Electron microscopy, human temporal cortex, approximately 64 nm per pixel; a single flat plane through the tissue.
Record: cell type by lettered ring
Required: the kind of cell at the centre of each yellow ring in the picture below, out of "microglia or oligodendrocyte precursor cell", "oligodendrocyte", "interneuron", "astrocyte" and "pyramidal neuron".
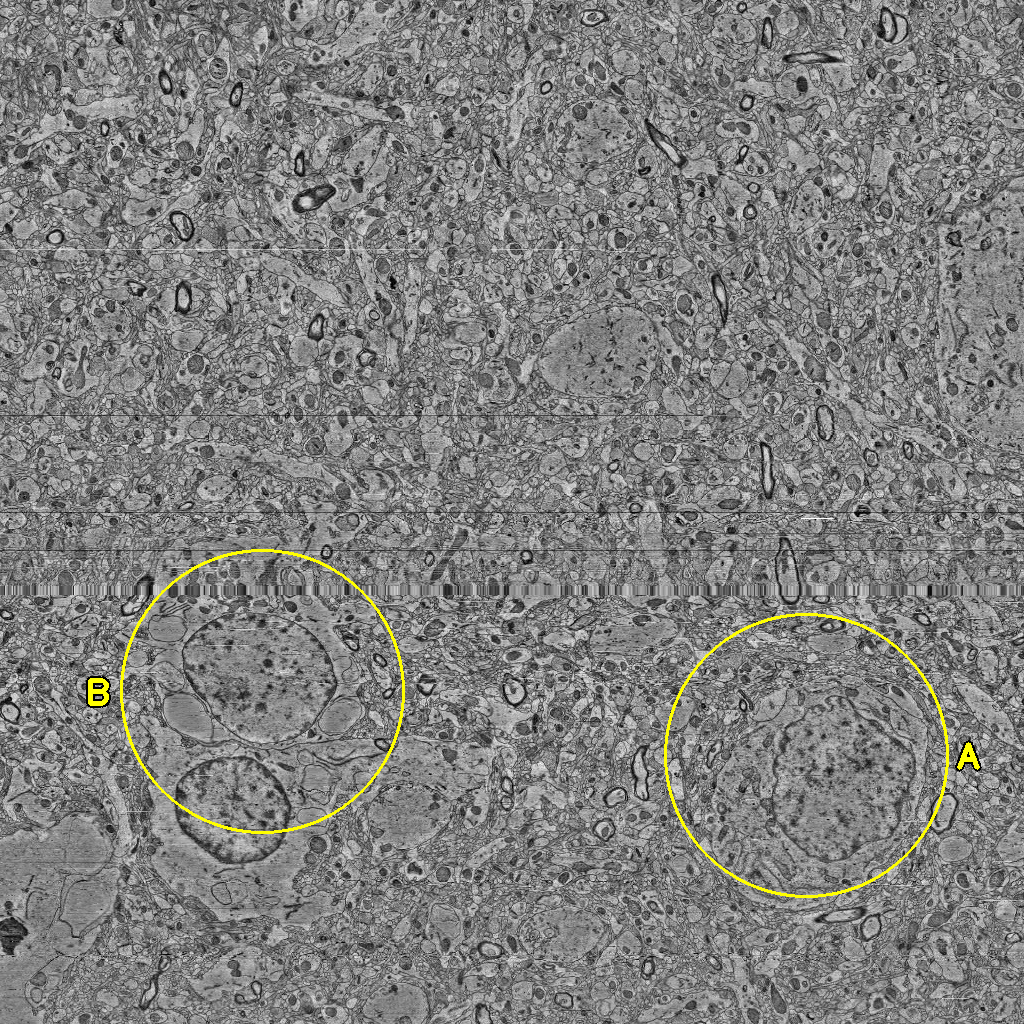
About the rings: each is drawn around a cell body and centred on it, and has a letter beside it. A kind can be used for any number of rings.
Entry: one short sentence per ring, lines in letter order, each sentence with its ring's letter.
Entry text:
At ring A we have an interneuron.
At ring B we have an astrocyte.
